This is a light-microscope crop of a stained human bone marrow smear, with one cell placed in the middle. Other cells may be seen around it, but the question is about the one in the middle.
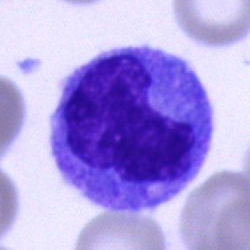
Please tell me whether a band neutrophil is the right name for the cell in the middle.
no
